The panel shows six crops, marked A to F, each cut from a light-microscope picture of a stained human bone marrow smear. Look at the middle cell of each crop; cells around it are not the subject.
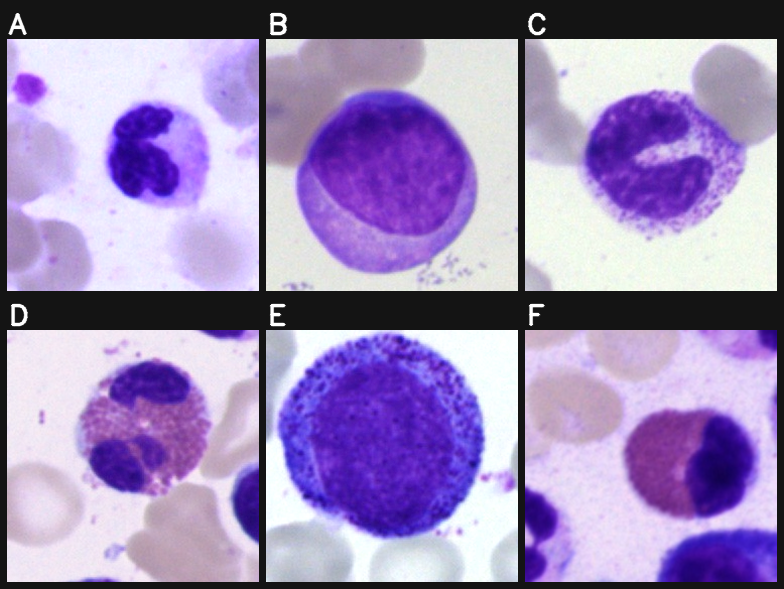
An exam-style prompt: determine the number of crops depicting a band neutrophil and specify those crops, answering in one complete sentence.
The only crop with a band neutrophil in the middle is crop C.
